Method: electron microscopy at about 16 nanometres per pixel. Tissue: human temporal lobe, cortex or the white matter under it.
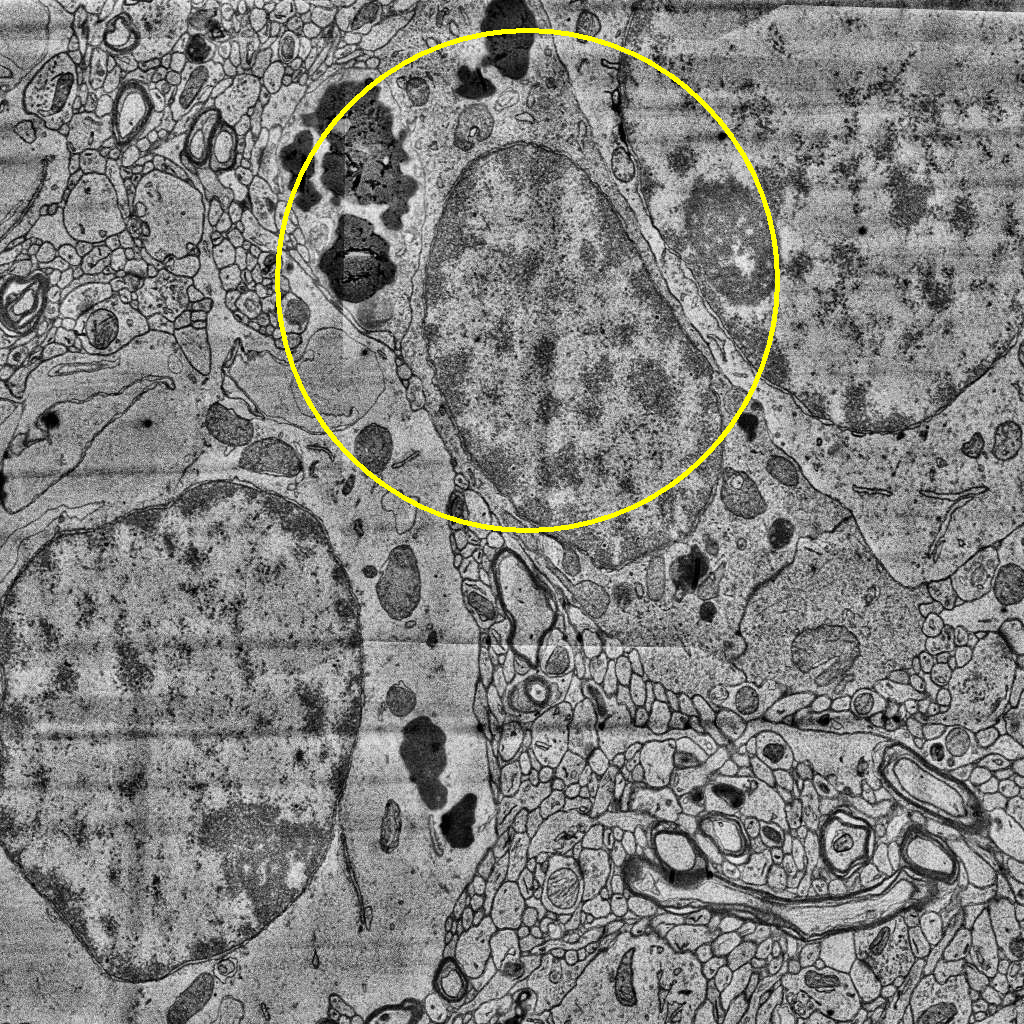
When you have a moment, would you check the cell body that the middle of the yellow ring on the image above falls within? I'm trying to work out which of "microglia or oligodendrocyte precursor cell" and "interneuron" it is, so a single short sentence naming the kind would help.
This cell body belongs to a microglial cell or oligodendrocyte precursor cell.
